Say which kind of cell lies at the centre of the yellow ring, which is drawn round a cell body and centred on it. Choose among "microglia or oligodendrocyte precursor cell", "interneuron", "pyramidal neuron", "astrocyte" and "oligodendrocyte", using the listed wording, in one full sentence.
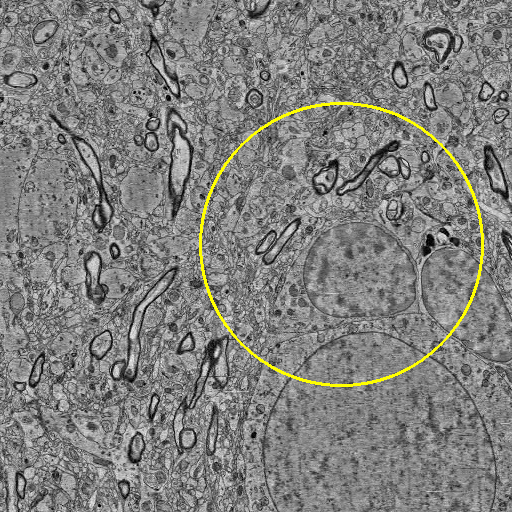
Going by the list, the cell at the yellow ring's centre is an oligodendrocyte.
